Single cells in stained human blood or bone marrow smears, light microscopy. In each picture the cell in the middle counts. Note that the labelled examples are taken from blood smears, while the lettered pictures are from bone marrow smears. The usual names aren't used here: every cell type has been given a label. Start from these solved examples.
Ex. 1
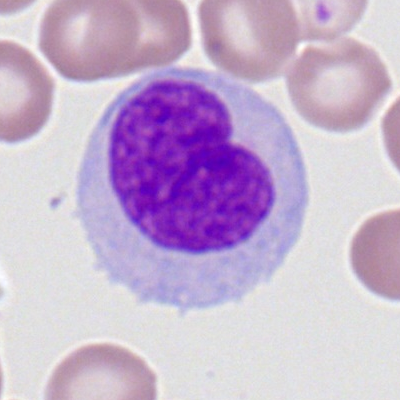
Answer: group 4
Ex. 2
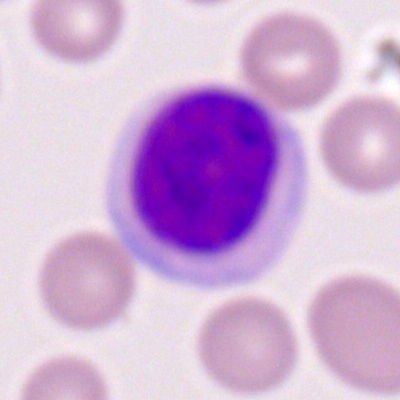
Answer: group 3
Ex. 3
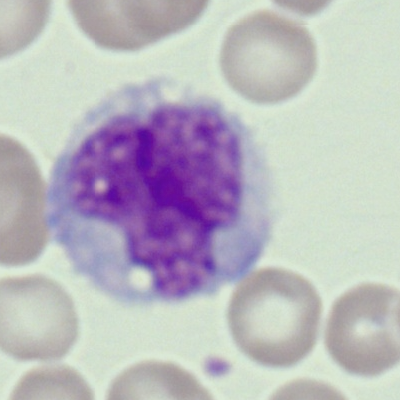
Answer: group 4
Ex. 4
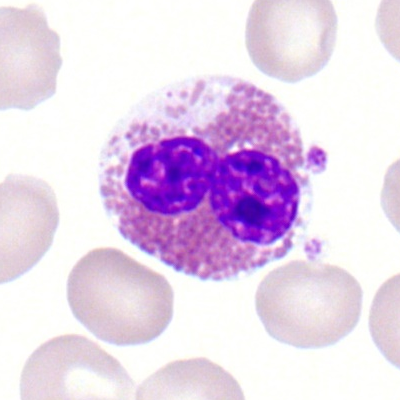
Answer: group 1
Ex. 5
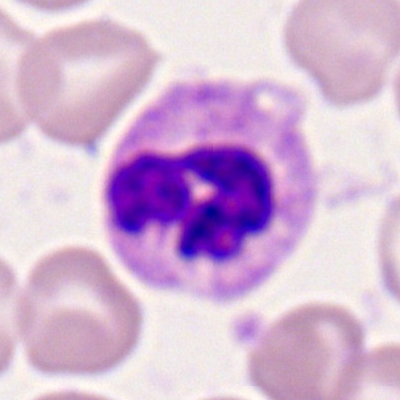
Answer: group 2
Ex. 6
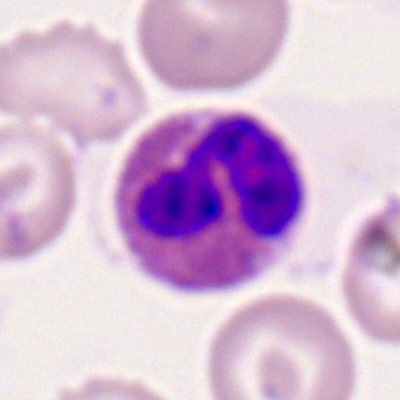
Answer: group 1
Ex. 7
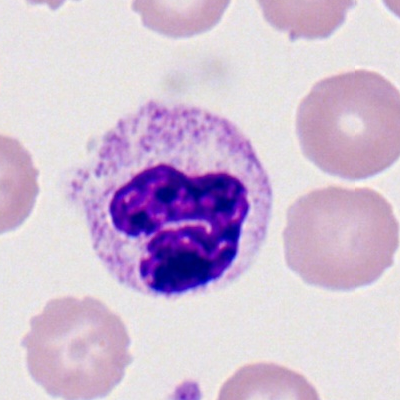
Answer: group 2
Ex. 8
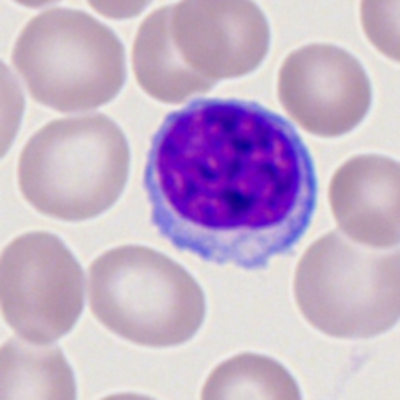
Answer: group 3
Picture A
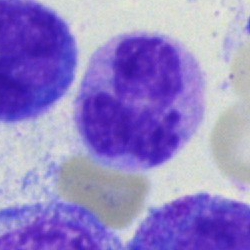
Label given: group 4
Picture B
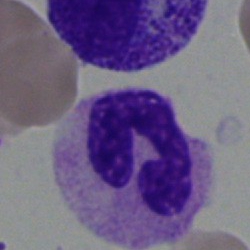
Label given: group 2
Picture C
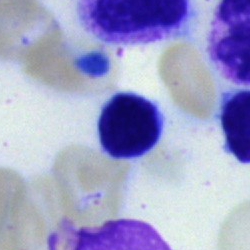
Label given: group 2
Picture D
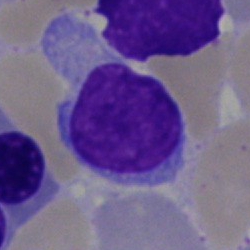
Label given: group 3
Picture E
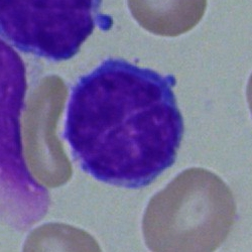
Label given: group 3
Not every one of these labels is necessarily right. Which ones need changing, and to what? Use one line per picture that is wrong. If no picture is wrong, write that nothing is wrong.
C: group 3, not group 2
